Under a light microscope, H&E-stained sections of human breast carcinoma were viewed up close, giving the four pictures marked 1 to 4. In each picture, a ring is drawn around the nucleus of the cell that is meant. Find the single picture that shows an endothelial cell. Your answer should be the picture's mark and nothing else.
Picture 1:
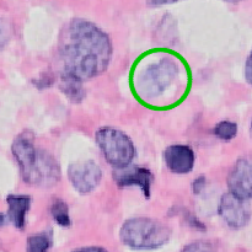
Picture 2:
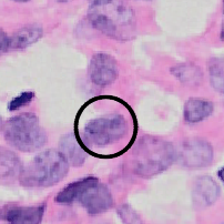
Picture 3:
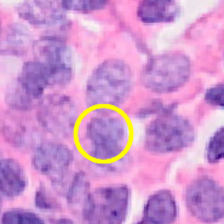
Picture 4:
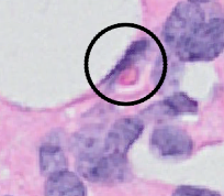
4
